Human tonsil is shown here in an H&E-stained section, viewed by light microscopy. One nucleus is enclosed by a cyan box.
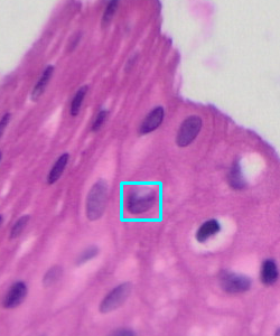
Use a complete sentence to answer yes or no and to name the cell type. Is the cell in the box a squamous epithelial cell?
Yes, the cell in the box corresponds to a squamous epithelial cell in this tissue.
